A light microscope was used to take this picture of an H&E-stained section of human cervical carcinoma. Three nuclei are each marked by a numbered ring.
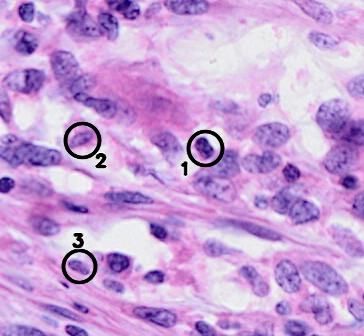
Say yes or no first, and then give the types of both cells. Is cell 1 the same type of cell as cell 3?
Yes, cells 1 and 3 are both lymphocytes.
